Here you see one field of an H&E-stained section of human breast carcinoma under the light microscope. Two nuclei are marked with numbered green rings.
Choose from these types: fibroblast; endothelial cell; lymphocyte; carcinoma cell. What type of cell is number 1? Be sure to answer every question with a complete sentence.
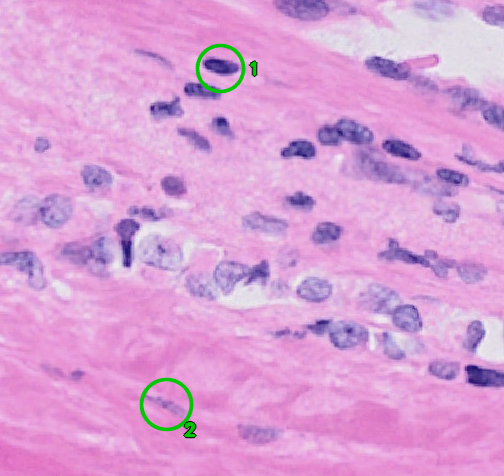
The marked nucleus 1 is that of a lymphocyte.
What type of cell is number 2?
The cell indicated with the number 2 is classed as a fibroblast.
